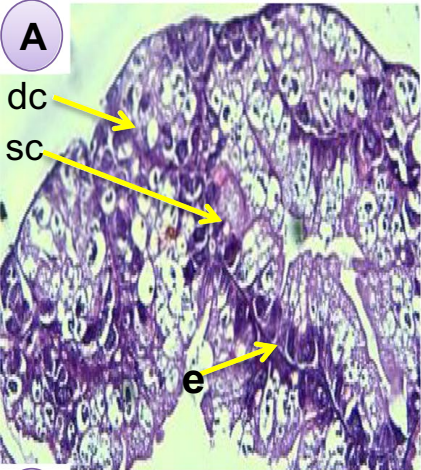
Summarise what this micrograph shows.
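The digestive cells are columnar and crowded with small clear vacuoles, each with a dark purple nucleus, giving the epithelium a bubbly look. Between the tubules runs a thin, darker purple epithelial and connective layer, and the tubules are closely packed with little empty space.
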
